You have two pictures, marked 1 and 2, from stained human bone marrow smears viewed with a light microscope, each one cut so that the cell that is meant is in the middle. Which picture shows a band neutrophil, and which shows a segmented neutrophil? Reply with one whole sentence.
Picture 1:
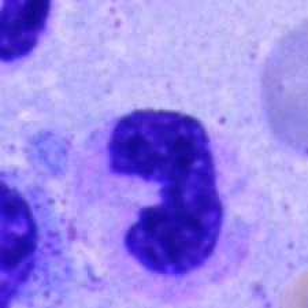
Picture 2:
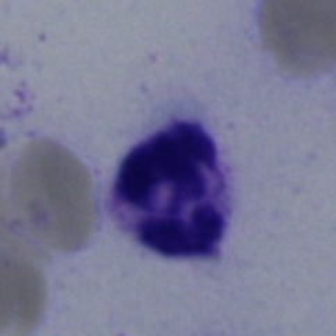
It is picture 1 that shows a band neutrophil, and picture 2 that shows a segmented neutrophil.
